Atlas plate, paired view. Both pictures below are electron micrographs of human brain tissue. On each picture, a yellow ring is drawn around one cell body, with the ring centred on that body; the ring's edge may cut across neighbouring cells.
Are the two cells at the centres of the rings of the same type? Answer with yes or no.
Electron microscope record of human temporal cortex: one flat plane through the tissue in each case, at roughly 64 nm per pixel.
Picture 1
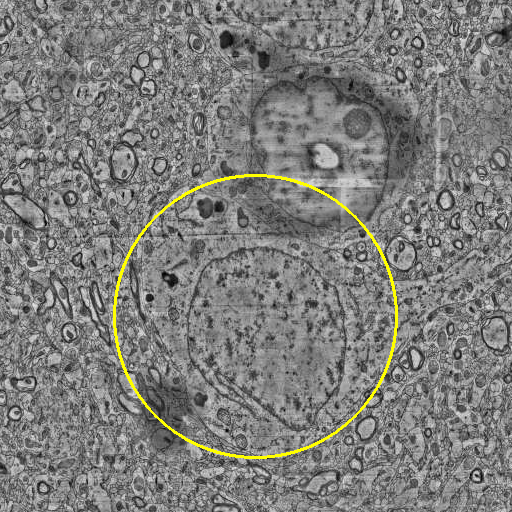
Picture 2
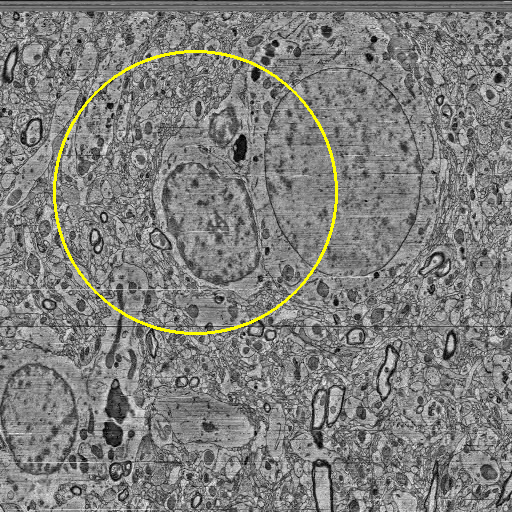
no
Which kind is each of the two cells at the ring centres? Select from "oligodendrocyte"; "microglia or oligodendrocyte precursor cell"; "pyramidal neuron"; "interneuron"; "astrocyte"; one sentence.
The cell at the centre of the ring is a pyramidal neuron in the first picture and a microglial cell or oligodendrocyte precursor cell in the second.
